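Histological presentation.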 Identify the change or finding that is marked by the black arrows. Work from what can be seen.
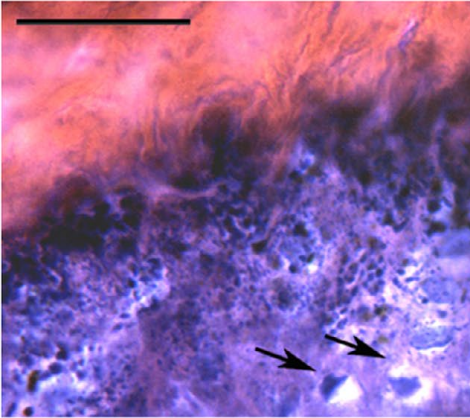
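Vacuolated cells. These clear spaces lie below a thick pink upper layer and a band of dark purple granular material.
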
